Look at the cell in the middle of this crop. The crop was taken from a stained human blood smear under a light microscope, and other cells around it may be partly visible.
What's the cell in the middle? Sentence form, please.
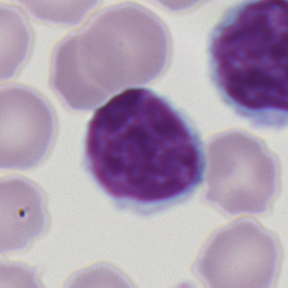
For this crop, the central cell is a lymphocyte.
